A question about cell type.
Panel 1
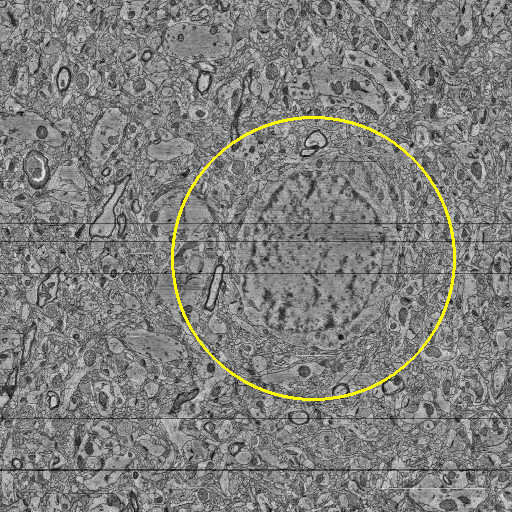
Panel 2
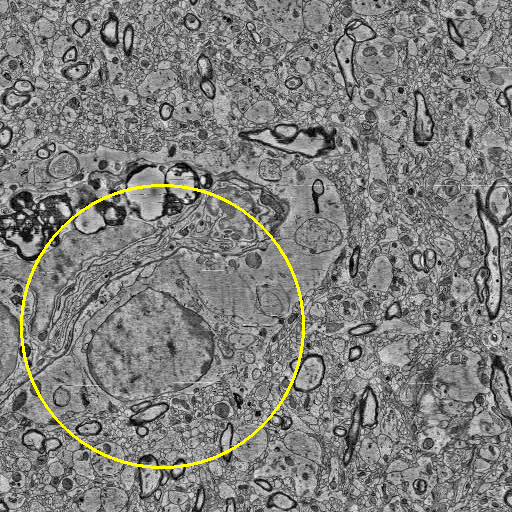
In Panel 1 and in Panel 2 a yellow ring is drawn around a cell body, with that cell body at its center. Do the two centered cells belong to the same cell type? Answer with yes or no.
no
